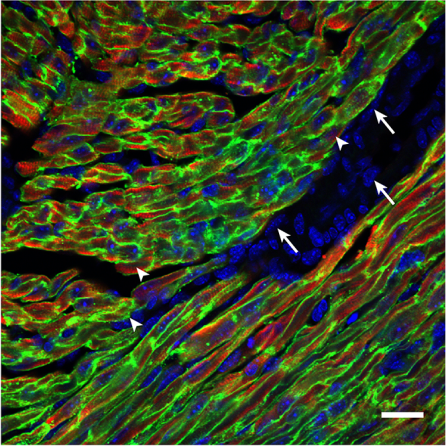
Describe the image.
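Heart muscle is seen at cell scale, mostly made of elongated cardiomyocytes running in parallel bundles, each with red-stained cytoplasm and outlined by a green membrane. Their nuclei are blue and lie within the cells. A diagonal band of small, crowded blue nuclei without red or green runs between the muscle bundles, marking non-myocytes.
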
